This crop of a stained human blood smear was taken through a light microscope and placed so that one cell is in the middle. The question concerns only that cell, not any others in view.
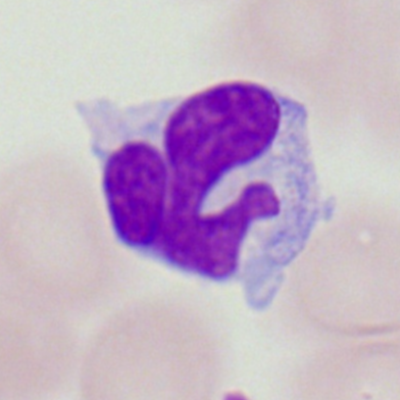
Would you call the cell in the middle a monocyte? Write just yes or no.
yes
